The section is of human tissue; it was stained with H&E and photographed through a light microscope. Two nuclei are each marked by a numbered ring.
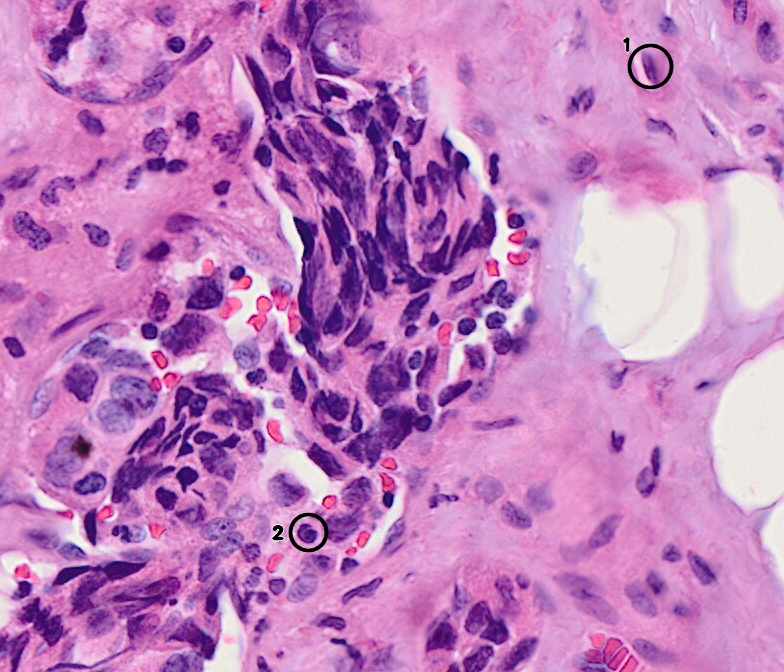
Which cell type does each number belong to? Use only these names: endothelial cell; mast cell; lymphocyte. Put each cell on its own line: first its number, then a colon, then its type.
1: endothelial cell
2: lymphocyte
